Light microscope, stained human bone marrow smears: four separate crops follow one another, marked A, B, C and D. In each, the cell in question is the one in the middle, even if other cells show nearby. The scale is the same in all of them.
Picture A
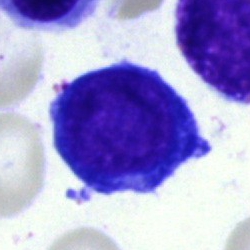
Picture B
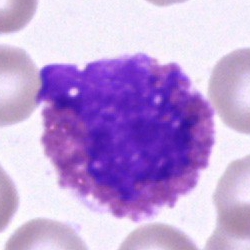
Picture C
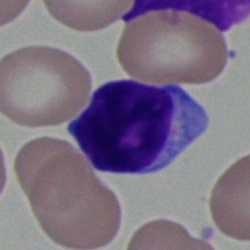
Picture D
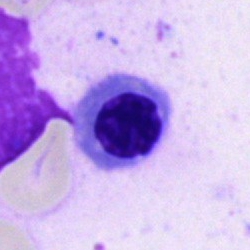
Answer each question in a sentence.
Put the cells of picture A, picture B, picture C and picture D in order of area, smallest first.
Going up, they run D, C, A, B.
